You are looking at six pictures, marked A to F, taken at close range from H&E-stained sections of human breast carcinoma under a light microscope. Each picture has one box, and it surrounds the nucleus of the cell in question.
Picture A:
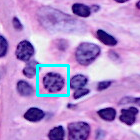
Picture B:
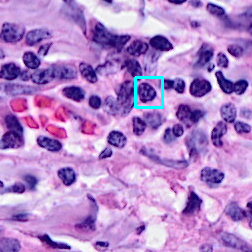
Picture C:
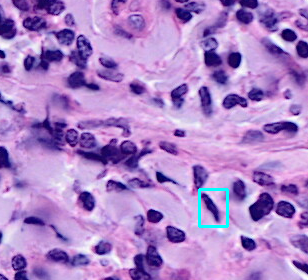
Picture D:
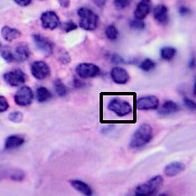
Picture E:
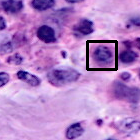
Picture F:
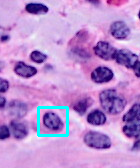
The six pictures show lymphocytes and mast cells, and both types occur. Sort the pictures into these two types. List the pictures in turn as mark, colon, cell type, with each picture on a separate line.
A: mast cell
B: lymphocyte
C: lymphocyte
D: lymphocyte
E: mast cell
F: mast cell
